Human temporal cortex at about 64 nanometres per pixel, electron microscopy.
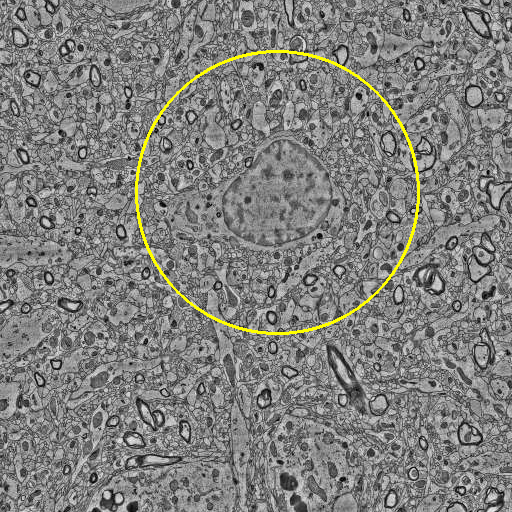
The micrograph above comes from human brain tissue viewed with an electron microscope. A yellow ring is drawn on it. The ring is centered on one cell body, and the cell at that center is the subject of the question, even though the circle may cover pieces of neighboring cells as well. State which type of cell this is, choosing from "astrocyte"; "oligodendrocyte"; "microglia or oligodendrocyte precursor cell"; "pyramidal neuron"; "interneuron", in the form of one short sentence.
The cell the ring is centered on is an oligodendrocyte.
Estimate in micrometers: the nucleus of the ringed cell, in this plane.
The nucleus is about 7 micrometres across in this plane.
